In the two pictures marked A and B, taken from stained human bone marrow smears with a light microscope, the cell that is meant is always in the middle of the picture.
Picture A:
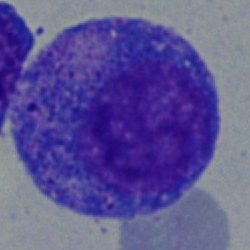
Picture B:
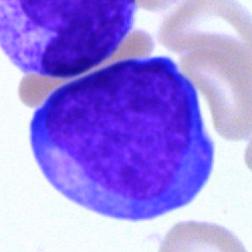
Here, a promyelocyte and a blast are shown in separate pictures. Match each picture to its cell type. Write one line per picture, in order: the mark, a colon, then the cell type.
A: promyelocyte
B: blast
